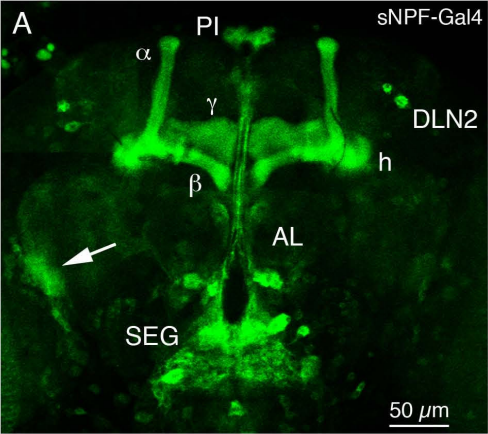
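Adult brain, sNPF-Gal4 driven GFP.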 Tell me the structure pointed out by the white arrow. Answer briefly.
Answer: neuropil at the base of the lobula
